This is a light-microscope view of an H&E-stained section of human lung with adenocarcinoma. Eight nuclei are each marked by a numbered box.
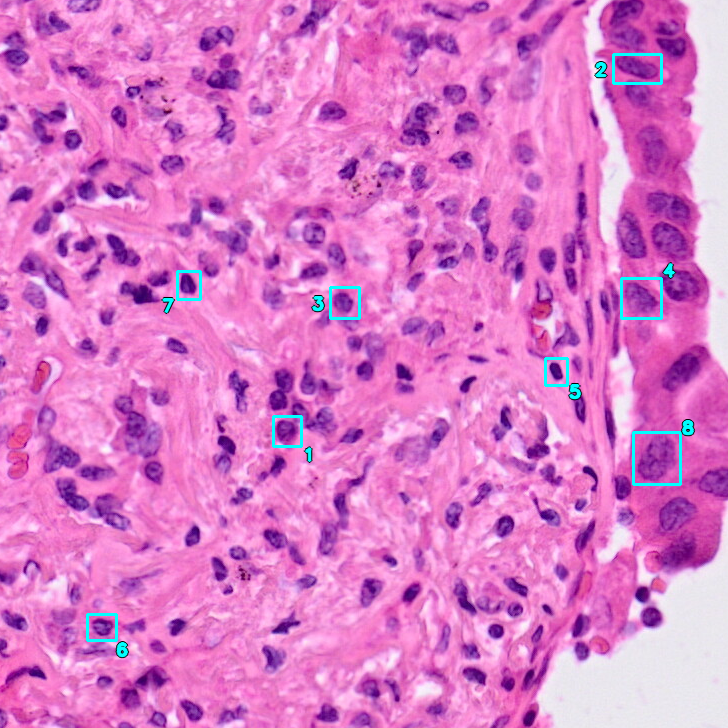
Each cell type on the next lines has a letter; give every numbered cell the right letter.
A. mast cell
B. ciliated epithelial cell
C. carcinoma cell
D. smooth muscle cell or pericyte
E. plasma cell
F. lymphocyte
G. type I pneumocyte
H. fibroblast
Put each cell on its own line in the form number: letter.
1: E
2: C
3: A
4: C
5: F
6: A
7: F
8: C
